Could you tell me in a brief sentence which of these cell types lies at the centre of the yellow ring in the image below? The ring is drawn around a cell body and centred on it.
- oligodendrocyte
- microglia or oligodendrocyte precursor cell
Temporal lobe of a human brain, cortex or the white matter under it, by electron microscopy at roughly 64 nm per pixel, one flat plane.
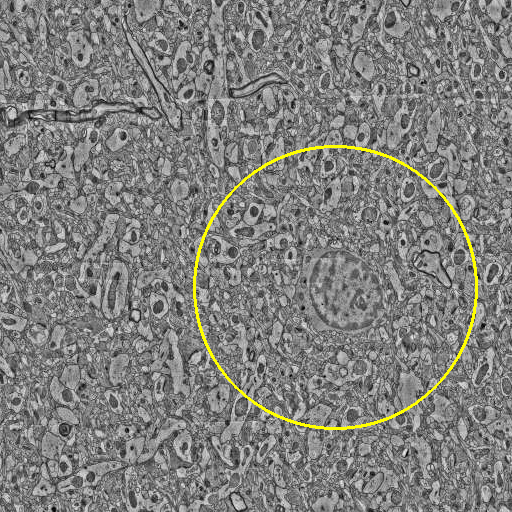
The cell centred in the ring is an oligodendrocyte.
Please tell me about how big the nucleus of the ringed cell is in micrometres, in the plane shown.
In this plane the nucleus spans approximately 5 by 4 micrometers.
